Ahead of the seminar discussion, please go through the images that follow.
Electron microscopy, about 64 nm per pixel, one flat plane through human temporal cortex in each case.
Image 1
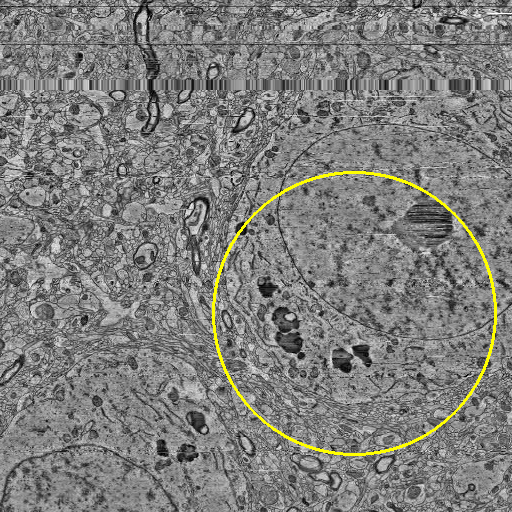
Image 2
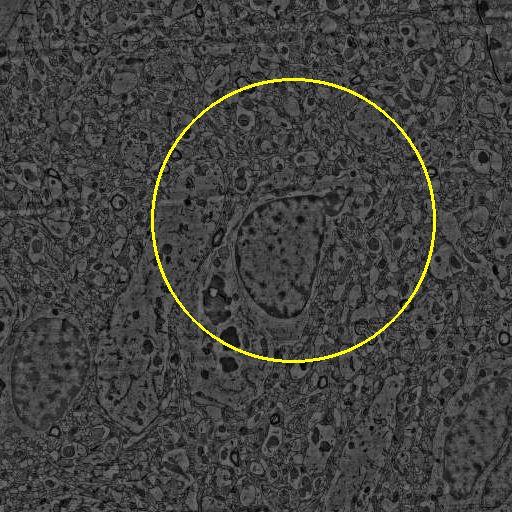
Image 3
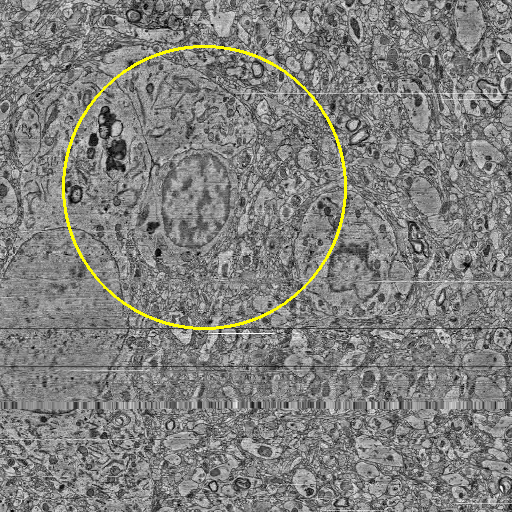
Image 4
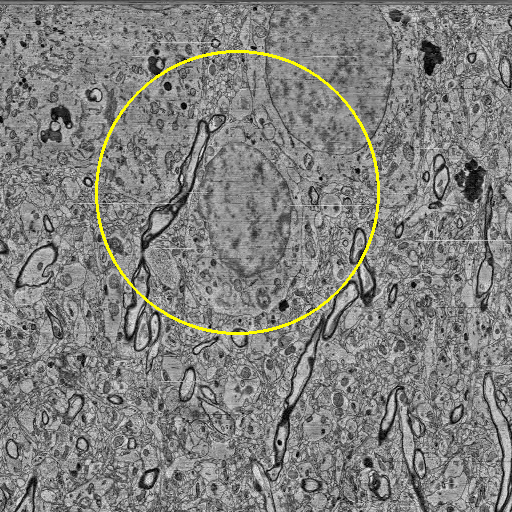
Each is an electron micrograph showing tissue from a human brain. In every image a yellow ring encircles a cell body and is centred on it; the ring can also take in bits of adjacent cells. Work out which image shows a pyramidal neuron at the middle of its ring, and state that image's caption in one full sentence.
In Image 1, the ring's centre holds the cell you are looking for.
